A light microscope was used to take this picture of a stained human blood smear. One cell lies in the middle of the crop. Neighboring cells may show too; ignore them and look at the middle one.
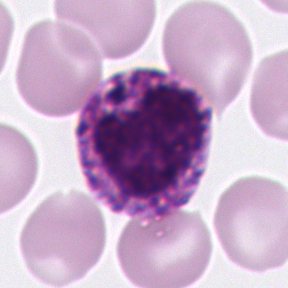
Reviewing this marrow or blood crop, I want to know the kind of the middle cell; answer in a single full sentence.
The cell at the middle of the crop is recognized as a basophil.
